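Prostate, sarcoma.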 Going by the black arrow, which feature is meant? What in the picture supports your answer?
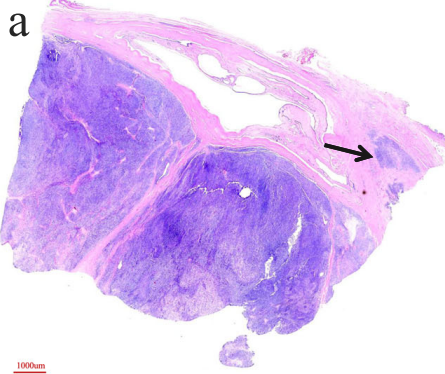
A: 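The arrow points to a small blue cellular nodule lying separate from the main mass, within the pink fibrous tissue at its edge.
Multifocal infiltrating border.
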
